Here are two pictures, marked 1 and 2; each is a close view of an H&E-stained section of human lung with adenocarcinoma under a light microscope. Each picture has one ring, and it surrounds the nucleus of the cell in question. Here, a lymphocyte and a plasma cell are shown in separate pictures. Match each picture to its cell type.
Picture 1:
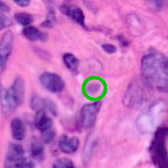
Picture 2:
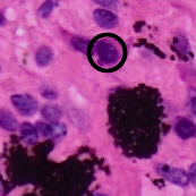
1: lymphocyte
2: plasma cell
